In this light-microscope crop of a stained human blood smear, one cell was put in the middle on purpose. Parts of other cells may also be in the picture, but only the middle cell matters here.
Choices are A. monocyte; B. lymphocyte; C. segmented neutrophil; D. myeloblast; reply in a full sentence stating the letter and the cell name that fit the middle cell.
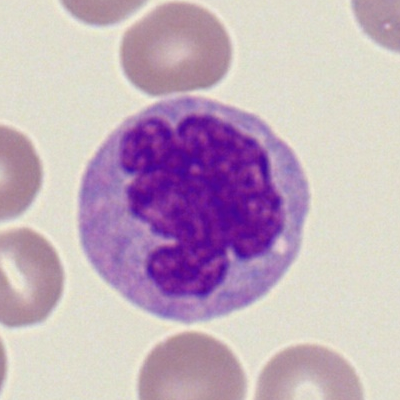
The cell centered in the crop is a monocyte, making option A the correct pick.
